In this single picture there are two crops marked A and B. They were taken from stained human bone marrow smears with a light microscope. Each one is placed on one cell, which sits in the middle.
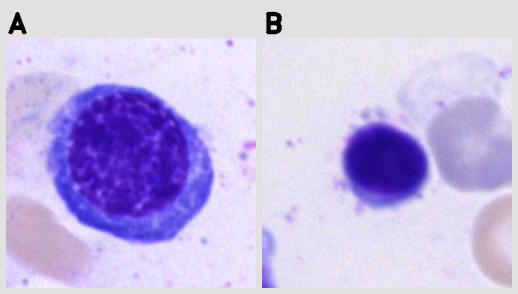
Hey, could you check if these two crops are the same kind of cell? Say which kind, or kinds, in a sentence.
No, it is an erythroblast in crop A and a lymphocyte in crop B.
